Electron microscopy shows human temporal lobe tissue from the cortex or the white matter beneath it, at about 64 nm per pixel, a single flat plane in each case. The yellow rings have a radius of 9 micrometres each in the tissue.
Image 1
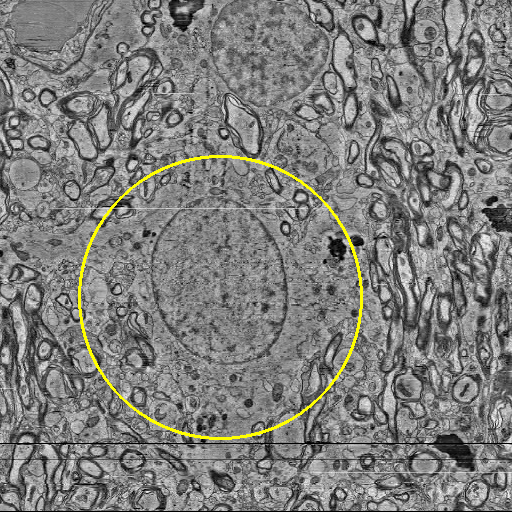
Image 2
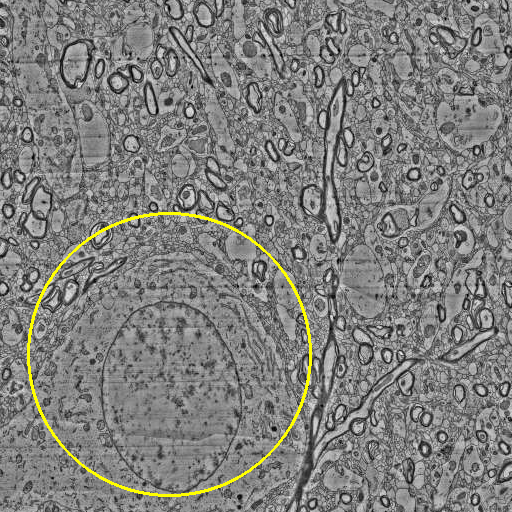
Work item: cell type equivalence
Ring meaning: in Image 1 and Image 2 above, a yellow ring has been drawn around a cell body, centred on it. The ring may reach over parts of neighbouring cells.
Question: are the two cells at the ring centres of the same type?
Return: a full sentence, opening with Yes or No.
No, the two centred cells are of two types.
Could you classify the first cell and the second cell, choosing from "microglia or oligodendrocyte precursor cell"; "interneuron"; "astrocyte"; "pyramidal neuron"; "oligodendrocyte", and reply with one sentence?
The second cell is a pyramidal neuron, while the first is an astrocyte.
